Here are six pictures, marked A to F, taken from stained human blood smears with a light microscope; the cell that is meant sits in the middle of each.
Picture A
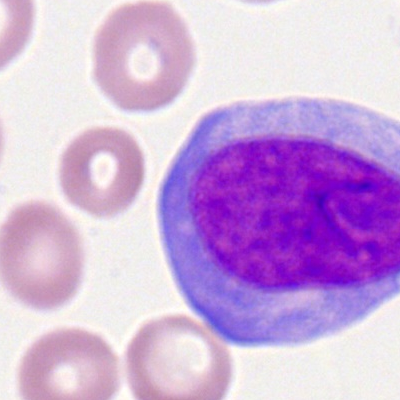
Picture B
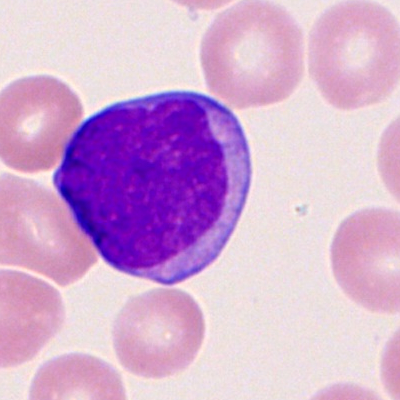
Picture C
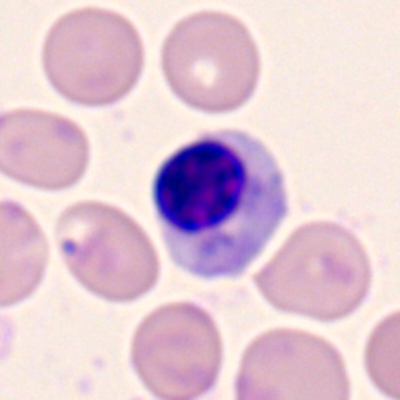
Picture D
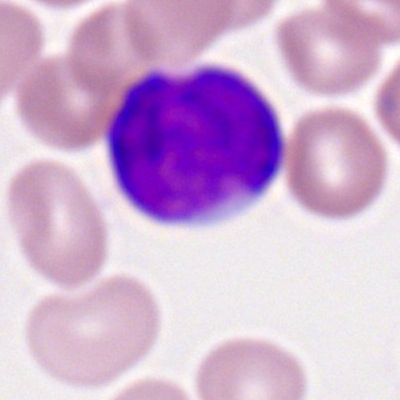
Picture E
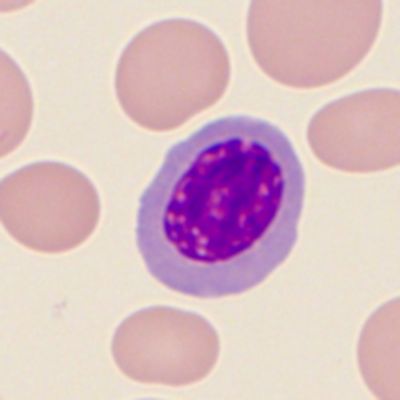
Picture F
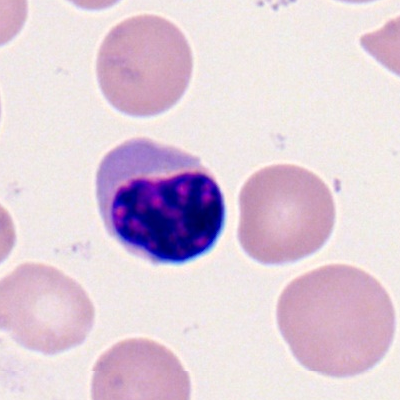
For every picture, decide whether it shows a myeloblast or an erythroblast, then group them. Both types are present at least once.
A: myeloblast
B: myeloblast
C: erythroblast
D: myeloblast
E: erythroblast
F: erythroblast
